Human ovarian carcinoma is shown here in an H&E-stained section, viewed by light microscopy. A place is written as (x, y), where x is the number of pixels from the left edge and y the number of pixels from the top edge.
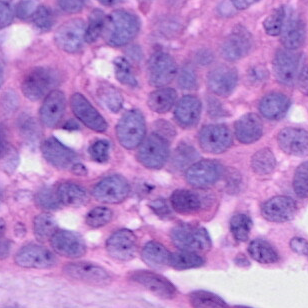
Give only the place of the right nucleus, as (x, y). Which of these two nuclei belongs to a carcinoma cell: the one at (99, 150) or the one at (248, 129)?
(248, 129)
